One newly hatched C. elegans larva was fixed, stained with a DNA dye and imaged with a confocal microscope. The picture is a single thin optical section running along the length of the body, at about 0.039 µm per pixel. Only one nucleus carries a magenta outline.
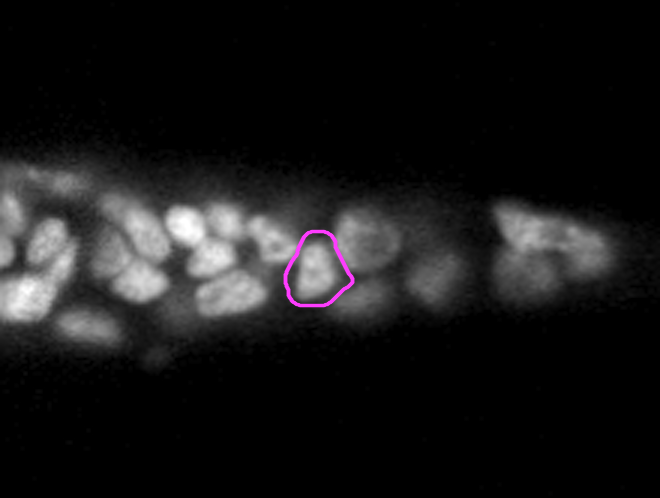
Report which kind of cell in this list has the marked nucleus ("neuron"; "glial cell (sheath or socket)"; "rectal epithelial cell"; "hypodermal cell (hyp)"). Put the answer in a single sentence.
This is the nucleus of a neuron.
